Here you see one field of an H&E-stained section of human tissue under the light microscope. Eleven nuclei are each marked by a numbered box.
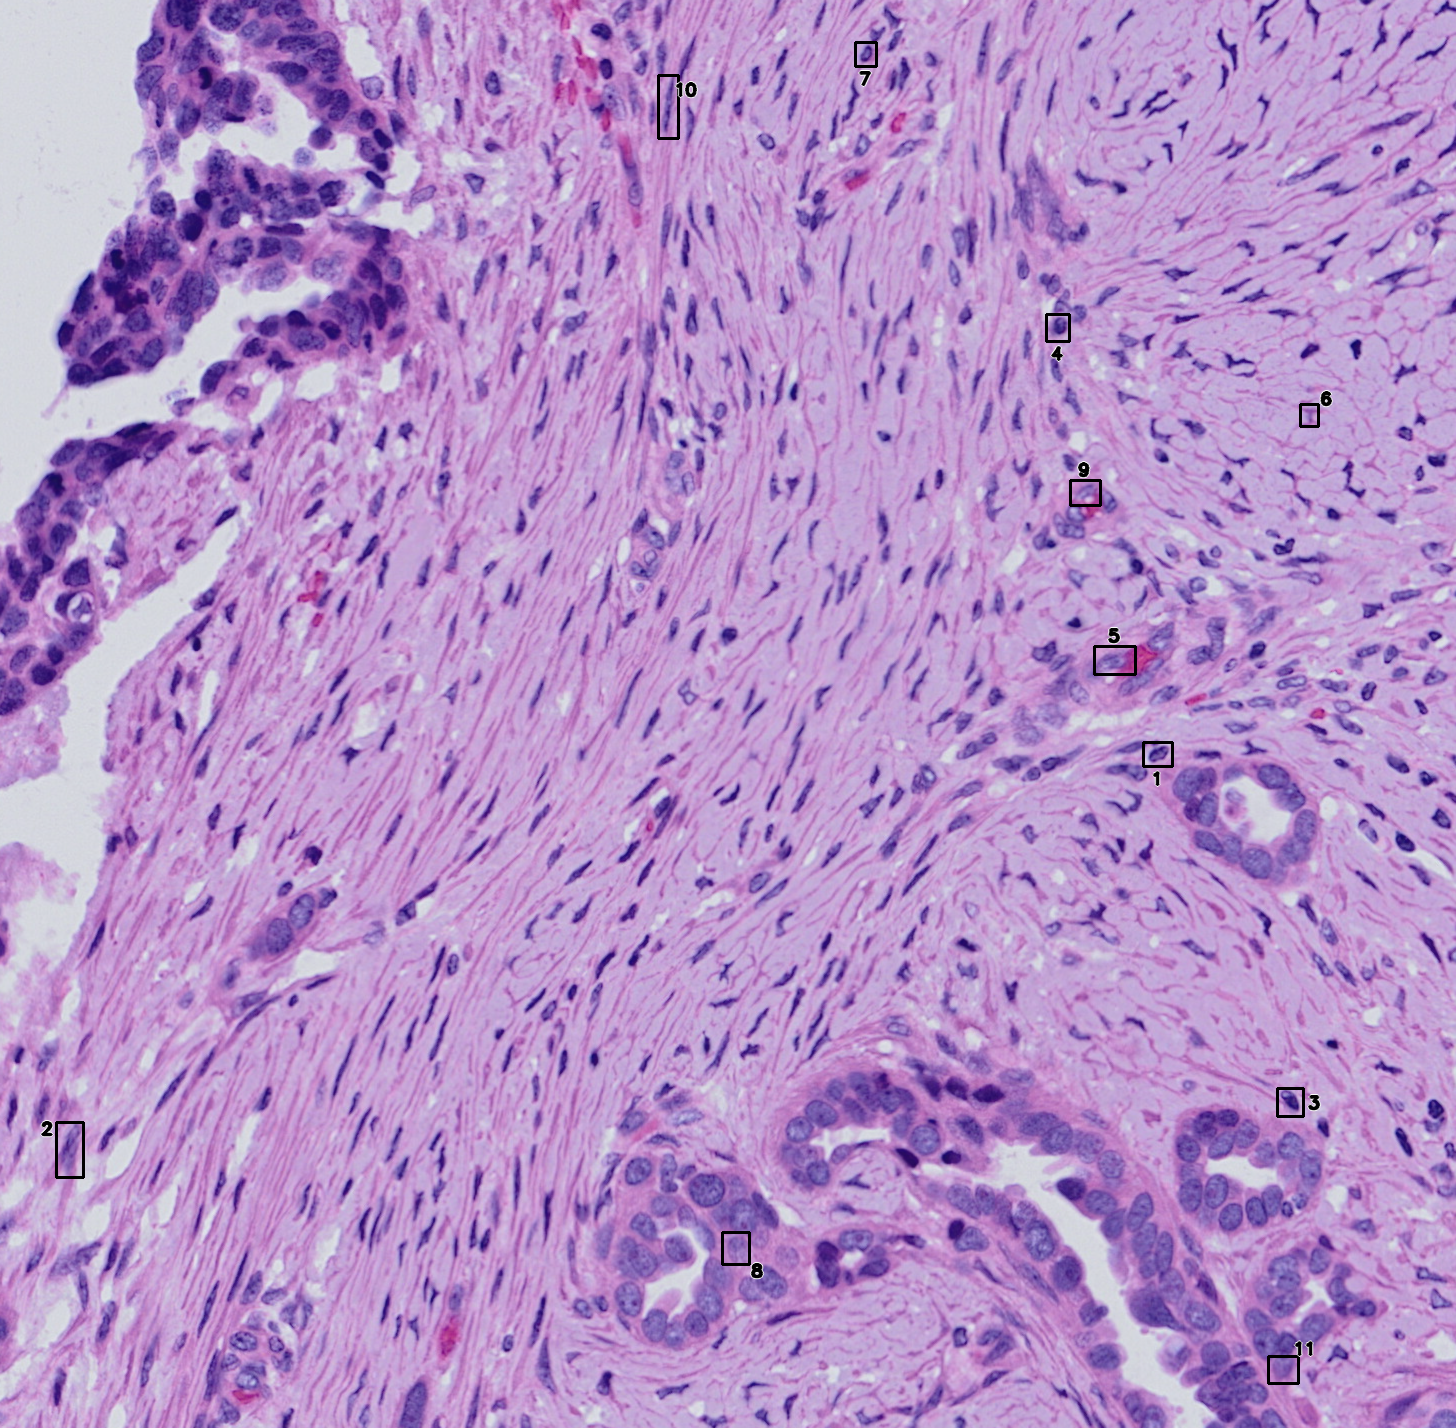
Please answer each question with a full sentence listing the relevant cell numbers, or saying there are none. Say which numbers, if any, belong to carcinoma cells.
The cells given the numbers 8 and 11 are carcinoma cells.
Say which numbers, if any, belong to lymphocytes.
The cells numbered 1, 3 and 4 are, by type, lymphocytes.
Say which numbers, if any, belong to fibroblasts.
The numbers 2, 6 and 10 mark cells that are fibroblasts.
